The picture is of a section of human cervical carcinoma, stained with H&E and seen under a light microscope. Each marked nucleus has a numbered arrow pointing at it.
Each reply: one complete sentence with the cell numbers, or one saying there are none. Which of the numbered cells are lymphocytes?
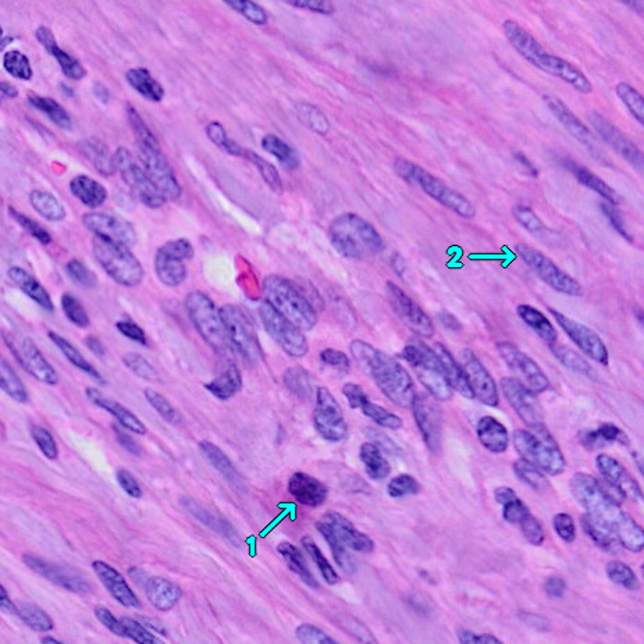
The nucleus numbered 1 is the only one that belongs to a lymphocyte.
